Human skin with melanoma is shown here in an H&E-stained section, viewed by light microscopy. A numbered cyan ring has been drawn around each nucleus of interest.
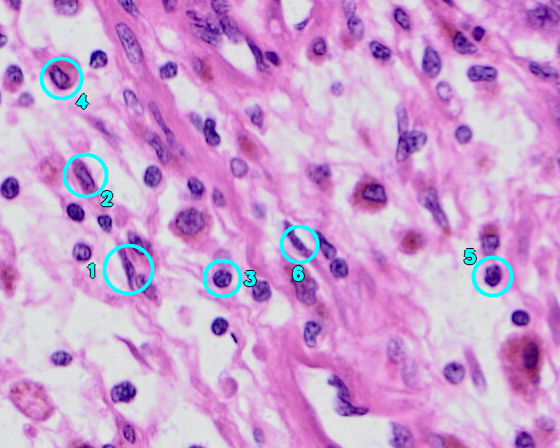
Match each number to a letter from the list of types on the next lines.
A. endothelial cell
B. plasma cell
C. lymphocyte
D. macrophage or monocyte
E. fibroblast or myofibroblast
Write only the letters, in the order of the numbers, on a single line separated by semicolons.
E; D; C; D; C; E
